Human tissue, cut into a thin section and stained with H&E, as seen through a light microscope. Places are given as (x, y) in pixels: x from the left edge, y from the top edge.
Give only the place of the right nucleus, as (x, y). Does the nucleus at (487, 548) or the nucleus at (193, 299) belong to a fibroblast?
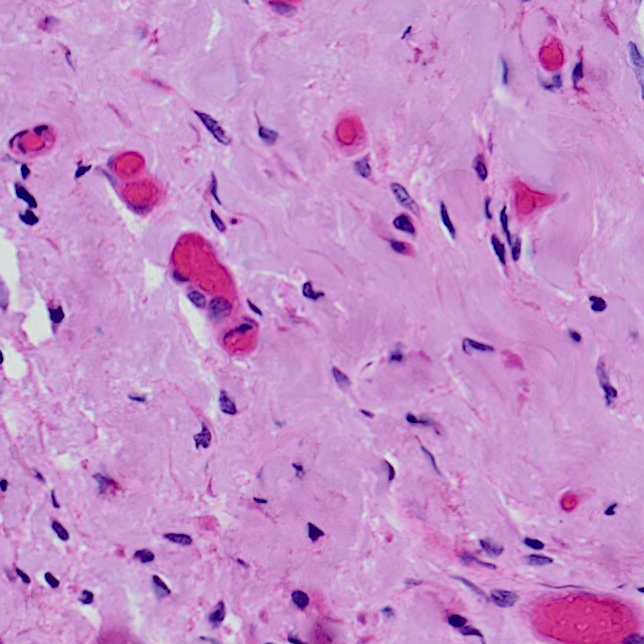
(487, 548)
